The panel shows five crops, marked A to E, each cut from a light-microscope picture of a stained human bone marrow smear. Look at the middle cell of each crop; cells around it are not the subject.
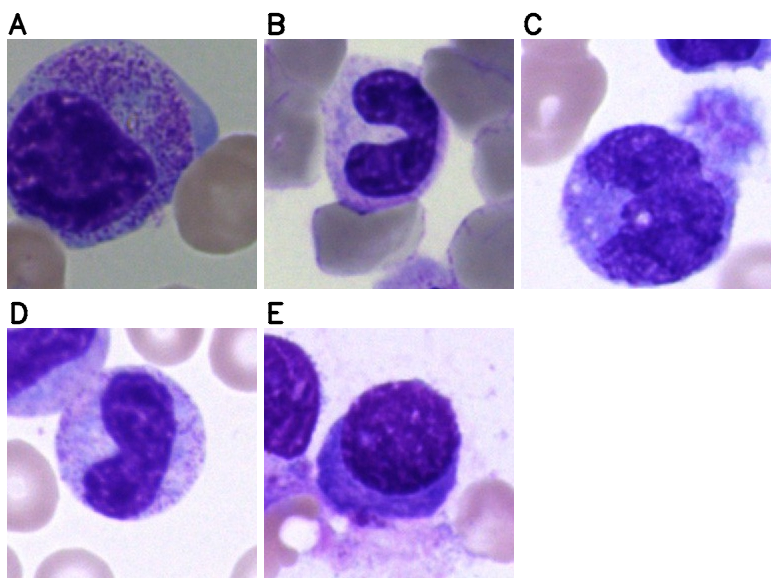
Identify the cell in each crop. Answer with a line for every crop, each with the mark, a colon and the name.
A: promyelocyte
B: band neutrophil
C: monocyte
D: metamyelocyte
E: plasma cell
